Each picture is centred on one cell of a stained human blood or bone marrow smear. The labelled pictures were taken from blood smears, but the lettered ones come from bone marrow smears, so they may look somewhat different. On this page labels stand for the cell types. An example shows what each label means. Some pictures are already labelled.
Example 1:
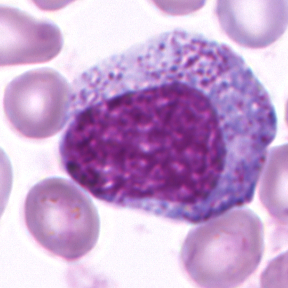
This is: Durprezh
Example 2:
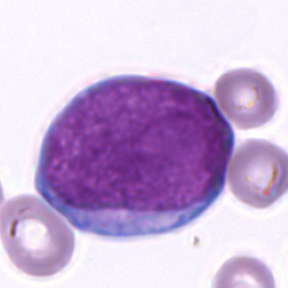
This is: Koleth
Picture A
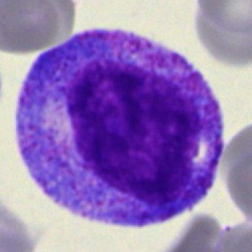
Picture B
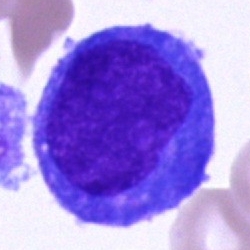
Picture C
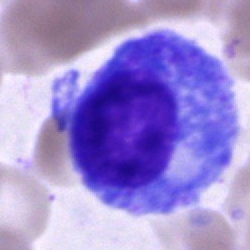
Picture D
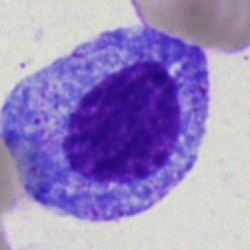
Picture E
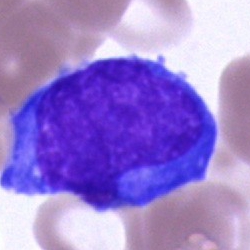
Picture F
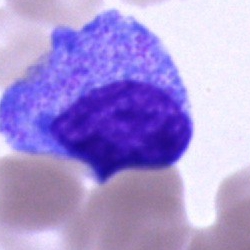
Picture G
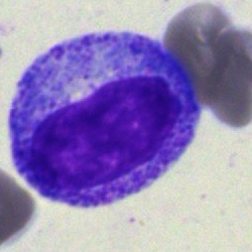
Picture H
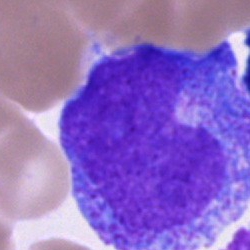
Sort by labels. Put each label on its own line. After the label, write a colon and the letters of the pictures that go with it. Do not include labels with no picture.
Durprezh: A, C, D, F, G, H
Koleth: B, E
